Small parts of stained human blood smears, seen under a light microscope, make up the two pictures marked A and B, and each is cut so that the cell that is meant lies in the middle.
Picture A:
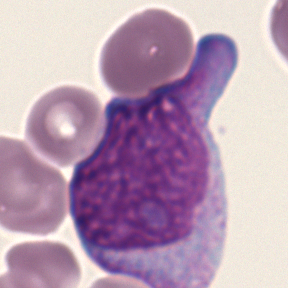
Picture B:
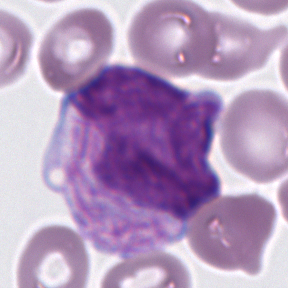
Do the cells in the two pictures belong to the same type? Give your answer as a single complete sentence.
Yes, the two pictures both show atypical promyelocytes.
